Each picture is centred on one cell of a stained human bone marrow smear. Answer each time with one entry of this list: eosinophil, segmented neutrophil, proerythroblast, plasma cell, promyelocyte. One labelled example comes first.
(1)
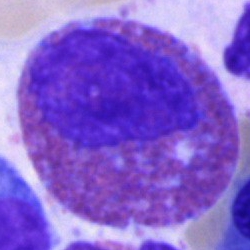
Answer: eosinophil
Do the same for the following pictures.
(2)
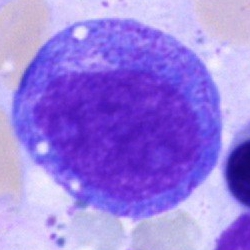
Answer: promyelocyte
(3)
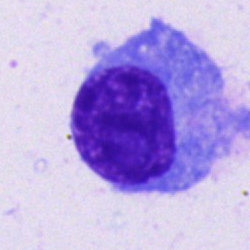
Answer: plasma cell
